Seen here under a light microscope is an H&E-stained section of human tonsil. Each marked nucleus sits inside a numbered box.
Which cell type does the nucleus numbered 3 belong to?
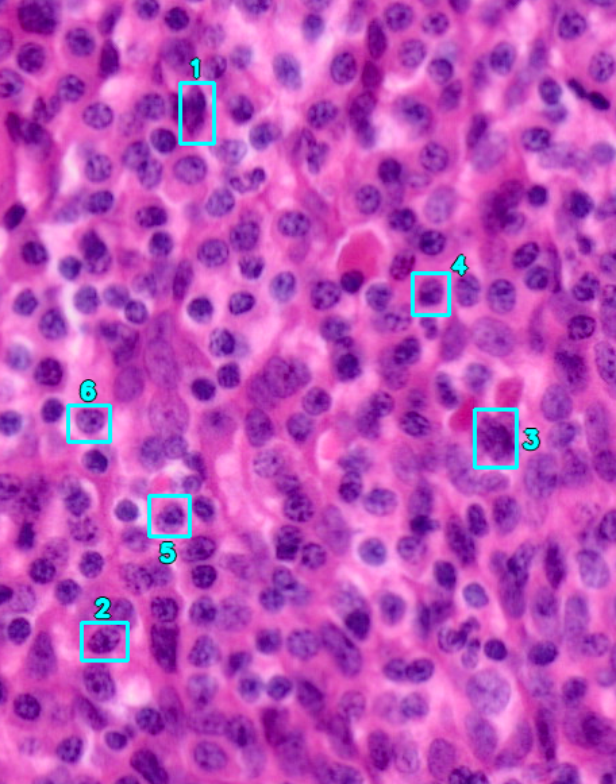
squamous epithelial cell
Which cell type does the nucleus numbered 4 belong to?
plasma cell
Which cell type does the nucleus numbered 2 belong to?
plasma cell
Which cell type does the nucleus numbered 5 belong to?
plasma cell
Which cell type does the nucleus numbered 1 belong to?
squamous epithelial cell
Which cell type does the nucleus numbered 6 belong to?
plasma cell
